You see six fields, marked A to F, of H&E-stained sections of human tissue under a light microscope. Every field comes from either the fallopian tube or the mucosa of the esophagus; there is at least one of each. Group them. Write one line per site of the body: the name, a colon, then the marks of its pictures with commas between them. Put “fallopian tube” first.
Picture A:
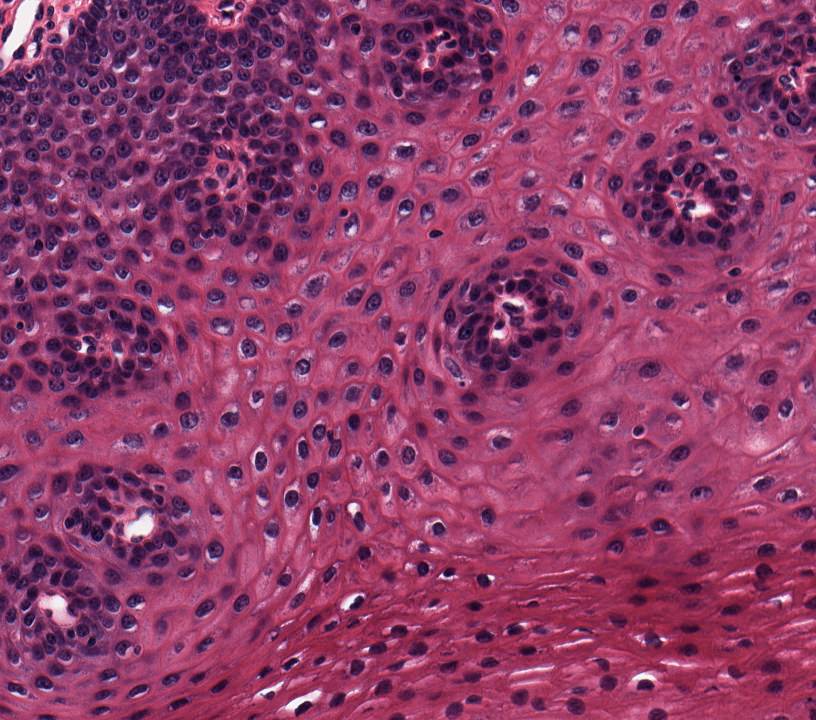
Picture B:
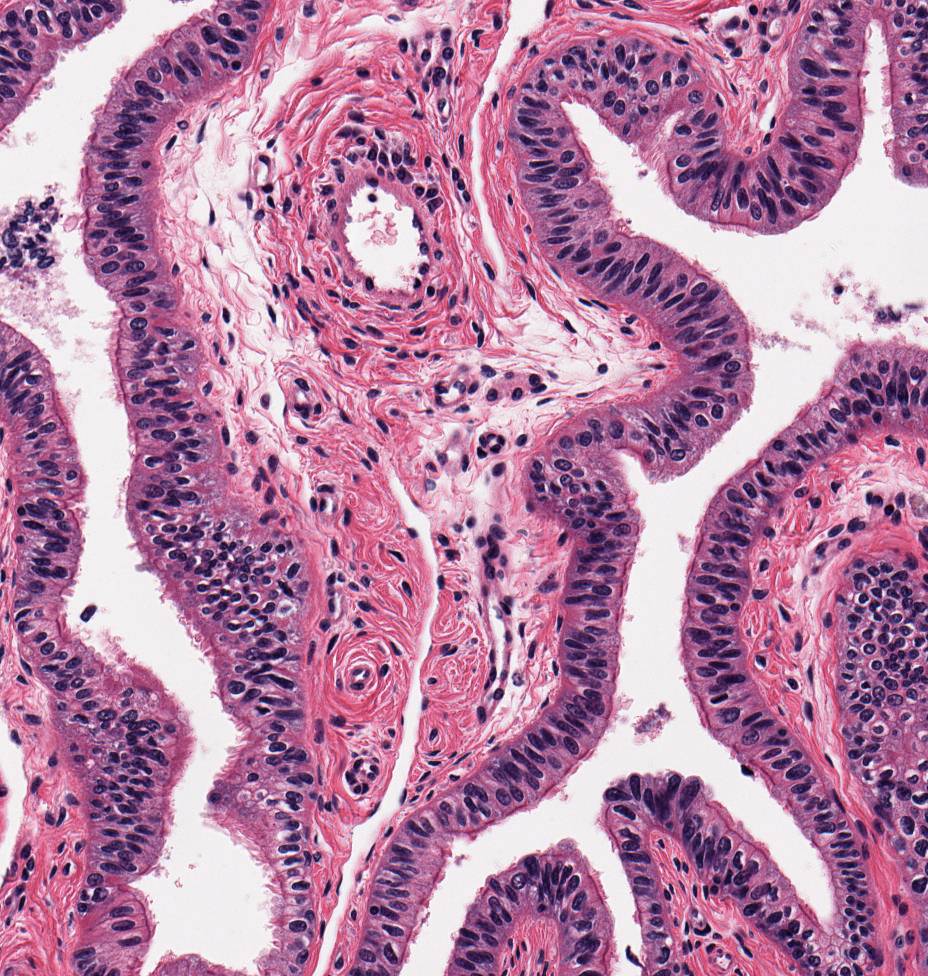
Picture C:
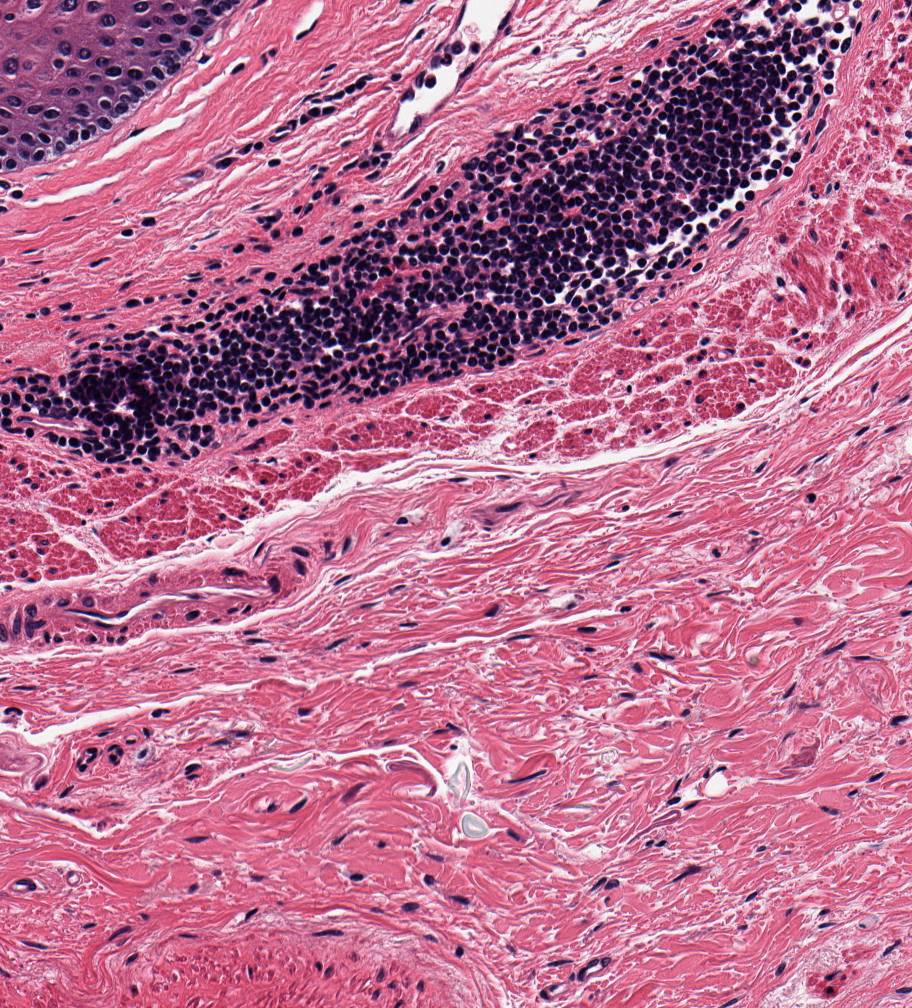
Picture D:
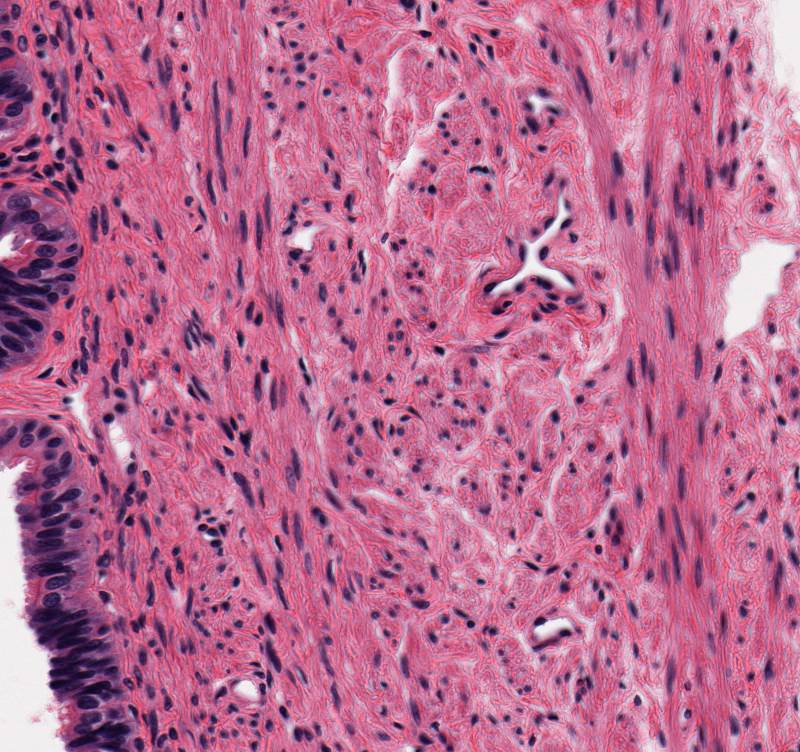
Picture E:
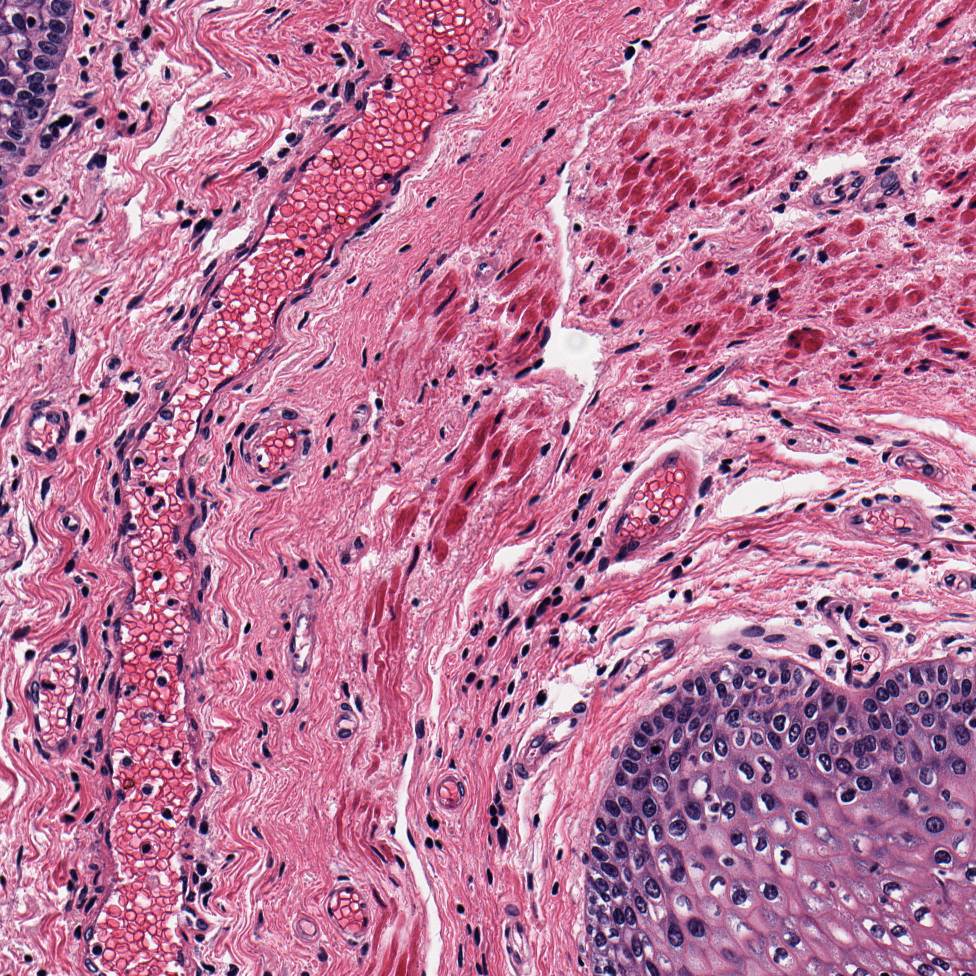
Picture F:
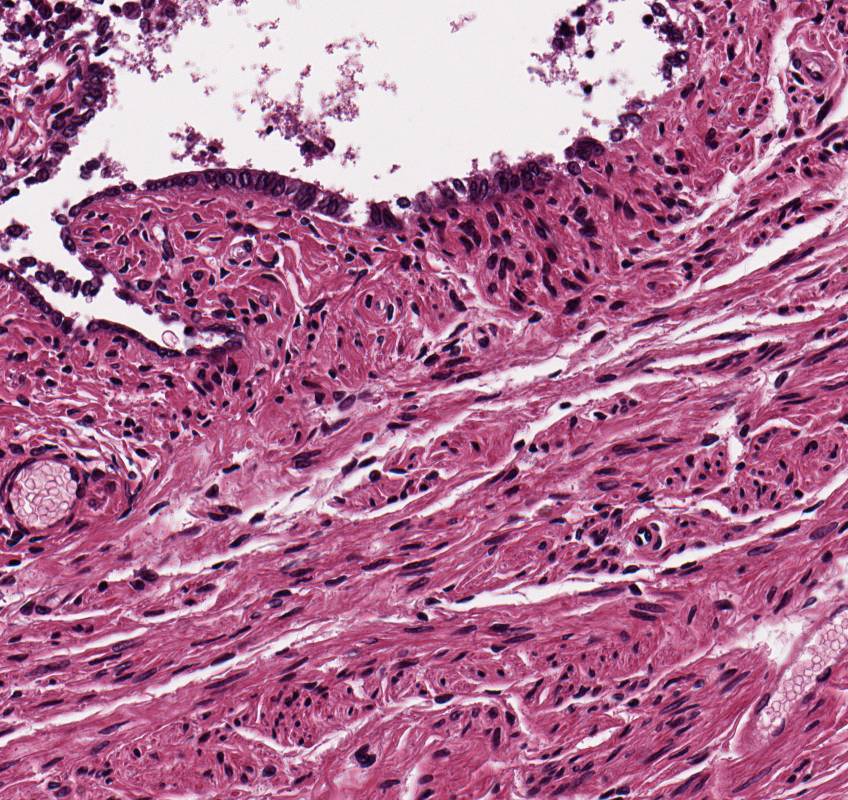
fallopian tube: B, D, F
mucosa of the esophagus: A, C, E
